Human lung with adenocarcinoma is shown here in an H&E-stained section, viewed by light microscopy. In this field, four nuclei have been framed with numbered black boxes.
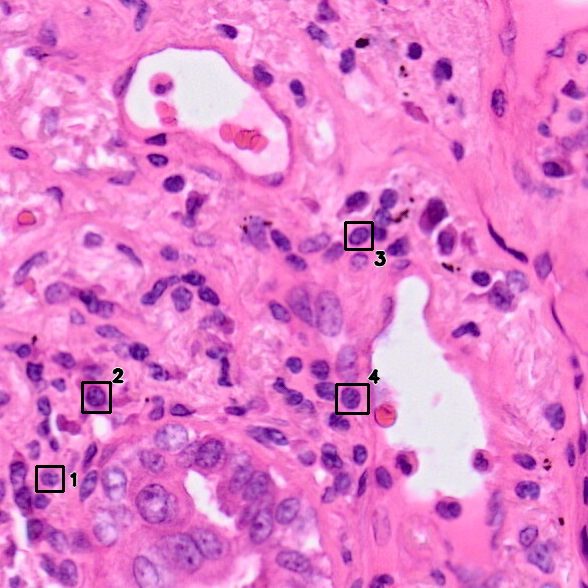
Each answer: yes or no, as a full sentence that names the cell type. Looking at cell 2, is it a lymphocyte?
No, the nucleus numbered 2 belongs to a plasma cell, not a lymphocyte.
